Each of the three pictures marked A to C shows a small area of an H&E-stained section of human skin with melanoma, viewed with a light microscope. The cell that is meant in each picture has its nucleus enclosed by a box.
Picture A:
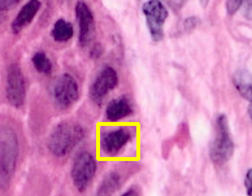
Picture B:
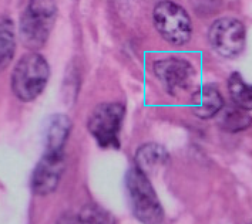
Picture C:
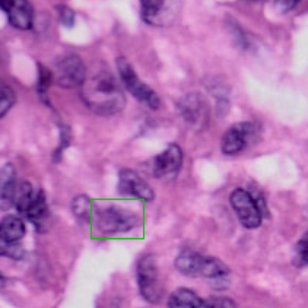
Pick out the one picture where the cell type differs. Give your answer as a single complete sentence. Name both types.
Picture A differs, because its cell is a keratinocyte and the rest are melanoma cells.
